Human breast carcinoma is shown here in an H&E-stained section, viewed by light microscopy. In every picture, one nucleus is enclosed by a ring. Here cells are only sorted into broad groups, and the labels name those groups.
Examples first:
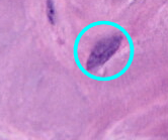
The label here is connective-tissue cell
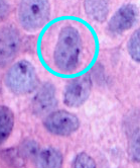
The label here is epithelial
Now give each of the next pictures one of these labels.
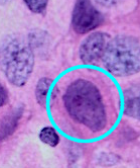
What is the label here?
epithelial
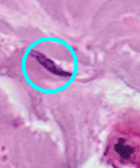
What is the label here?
connective-tissue cell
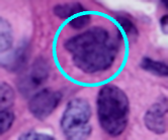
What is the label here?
epithelial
